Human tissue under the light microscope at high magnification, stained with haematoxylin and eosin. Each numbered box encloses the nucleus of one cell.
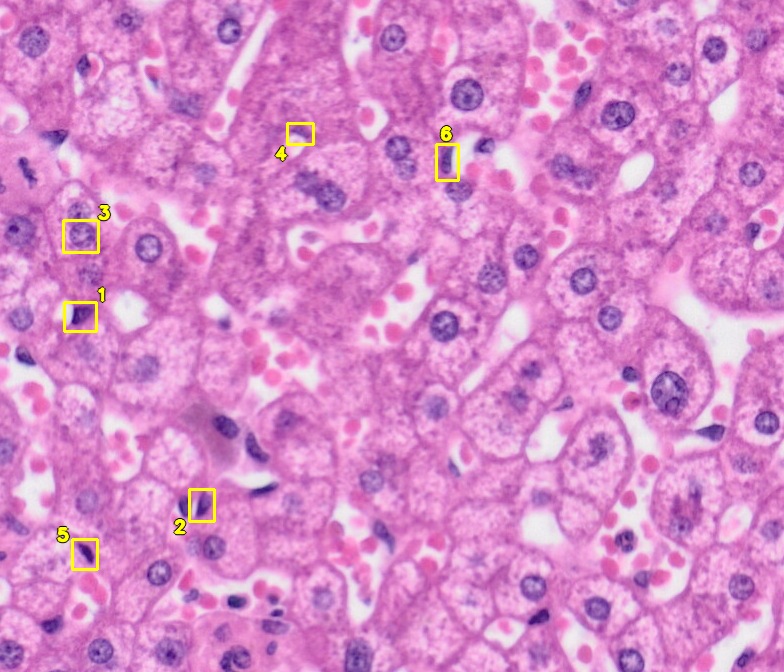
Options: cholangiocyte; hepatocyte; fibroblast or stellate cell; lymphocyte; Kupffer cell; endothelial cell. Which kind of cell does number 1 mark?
fibroblast or stellate cell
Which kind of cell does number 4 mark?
endothelial cell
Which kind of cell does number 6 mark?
endothelial cell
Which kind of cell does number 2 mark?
fibroblast or stellate cell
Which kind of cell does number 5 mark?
fibroblast or stellate cell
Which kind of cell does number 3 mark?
hepatocyte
